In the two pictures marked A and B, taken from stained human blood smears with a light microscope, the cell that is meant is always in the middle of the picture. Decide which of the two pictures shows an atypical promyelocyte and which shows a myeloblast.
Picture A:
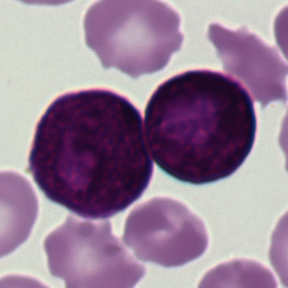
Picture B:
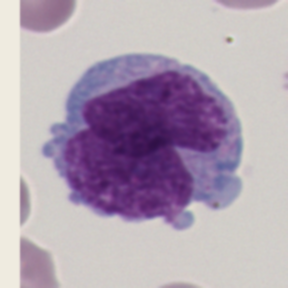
A: myeloblast
B: atypical promyelocyte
